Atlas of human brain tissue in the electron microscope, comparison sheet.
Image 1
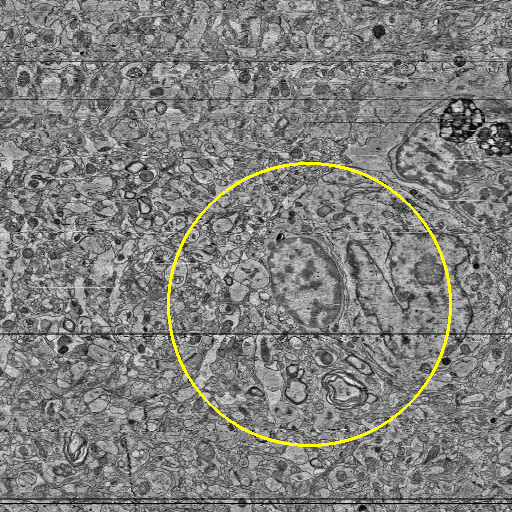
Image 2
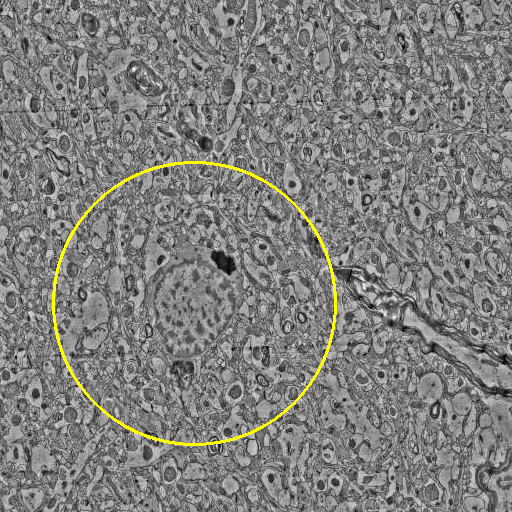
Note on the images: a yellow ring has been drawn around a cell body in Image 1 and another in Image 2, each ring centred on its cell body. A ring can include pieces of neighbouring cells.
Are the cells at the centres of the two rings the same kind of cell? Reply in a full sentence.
Yes, both cells are of the same kind.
